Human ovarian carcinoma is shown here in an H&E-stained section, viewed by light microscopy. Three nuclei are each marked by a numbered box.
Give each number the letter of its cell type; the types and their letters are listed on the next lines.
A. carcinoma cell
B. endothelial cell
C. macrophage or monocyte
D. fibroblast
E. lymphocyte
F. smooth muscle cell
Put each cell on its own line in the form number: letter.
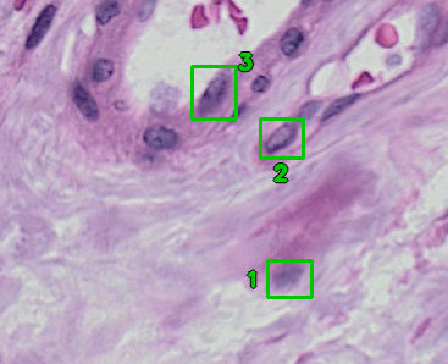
1: F
2: B
3: B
